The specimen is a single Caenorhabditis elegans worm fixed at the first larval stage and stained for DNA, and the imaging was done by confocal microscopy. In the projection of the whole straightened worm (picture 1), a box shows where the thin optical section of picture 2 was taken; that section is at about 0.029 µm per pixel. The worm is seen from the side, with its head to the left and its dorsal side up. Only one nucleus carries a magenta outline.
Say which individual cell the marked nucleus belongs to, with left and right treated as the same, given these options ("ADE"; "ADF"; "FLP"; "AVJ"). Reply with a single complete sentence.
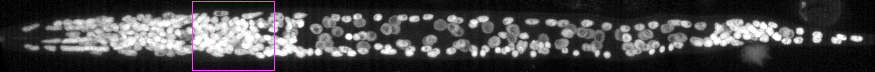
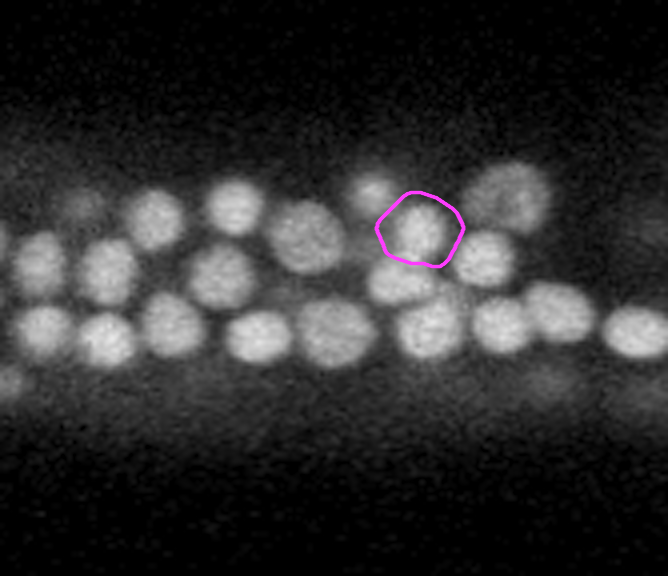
The marked nucleus is that of AVJ, a neuron.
